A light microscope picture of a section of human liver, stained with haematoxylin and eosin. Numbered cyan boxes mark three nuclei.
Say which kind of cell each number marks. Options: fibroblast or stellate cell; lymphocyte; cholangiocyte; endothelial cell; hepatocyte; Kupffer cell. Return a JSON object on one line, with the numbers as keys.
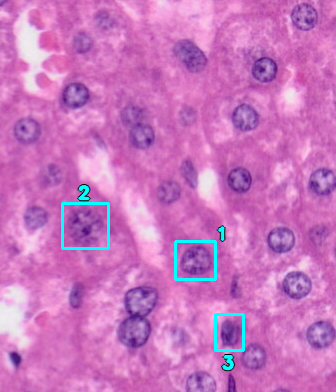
{"1": "hepatocyte", "2": "hepatocyte", "3": "endothelial cell"}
